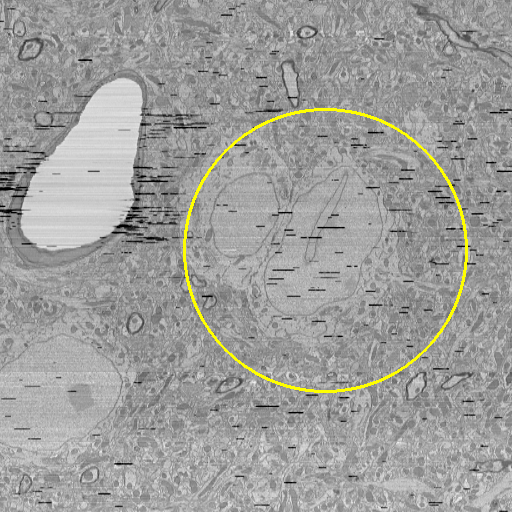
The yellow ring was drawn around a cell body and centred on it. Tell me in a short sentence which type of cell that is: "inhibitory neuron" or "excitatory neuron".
The cell at the ring's centre is an excitatory neuron.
